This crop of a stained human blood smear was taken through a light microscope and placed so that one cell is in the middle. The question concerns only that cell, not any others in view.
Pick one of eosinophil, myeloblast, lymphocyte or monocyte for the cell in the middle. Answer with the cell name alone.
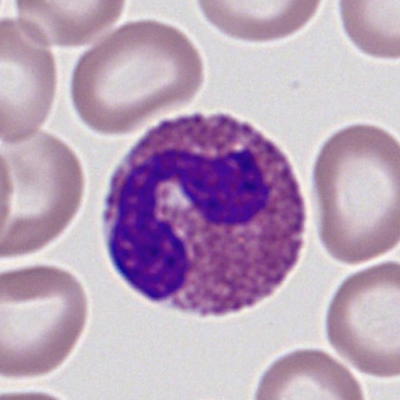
eosinophil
